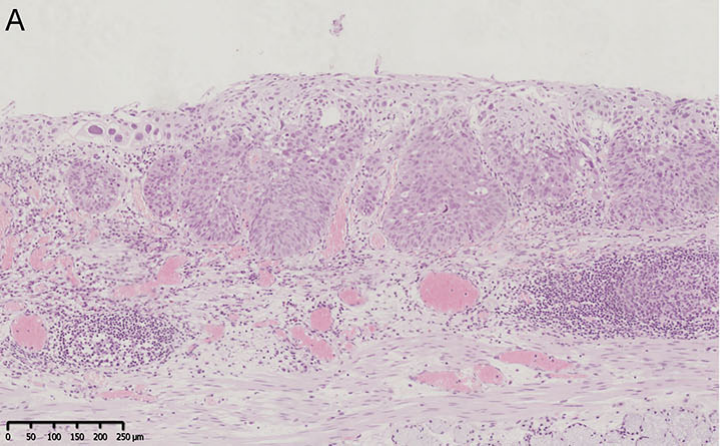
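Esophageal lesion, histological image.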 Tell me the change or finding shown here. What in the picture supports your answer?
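Rounded nests of tumor cells push down into the underlying connective tissue. Dense clusters of lymphocytes lie beneath the nests. The answer: Squamous cell carcinoma.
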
